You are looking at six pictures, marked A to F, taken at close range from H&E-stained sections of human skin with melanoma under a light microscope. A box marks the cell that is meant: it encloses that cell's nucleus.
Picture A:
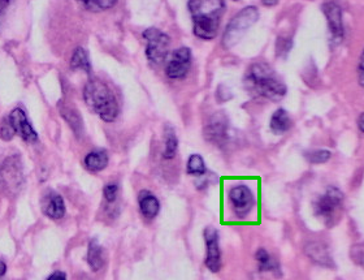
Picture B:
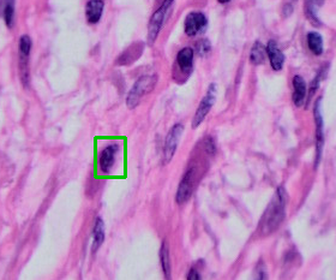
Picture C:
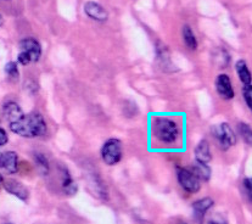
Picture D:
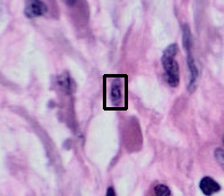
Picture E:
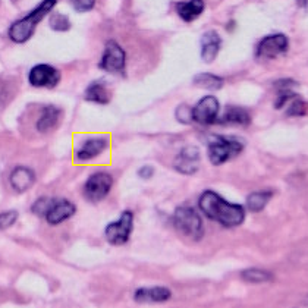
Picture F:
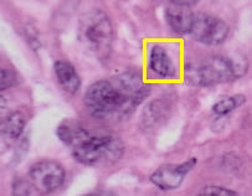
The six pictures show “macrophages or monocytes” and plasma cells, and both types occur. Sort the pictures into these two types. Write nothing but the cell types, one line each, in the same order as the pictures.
macrophage or monocyte
plasma cell
plasma cell
macrophage or monocyte
macrophage or monocyte
macrophage or monocyte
